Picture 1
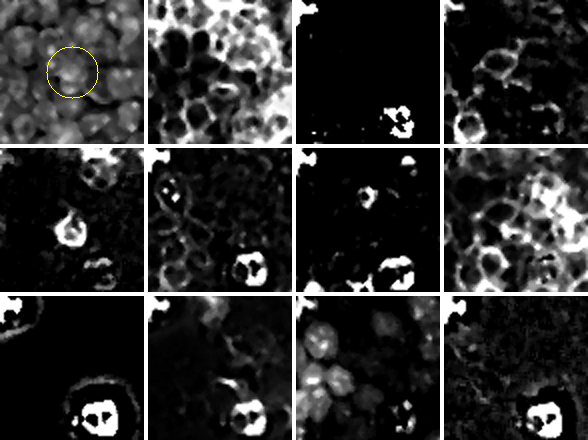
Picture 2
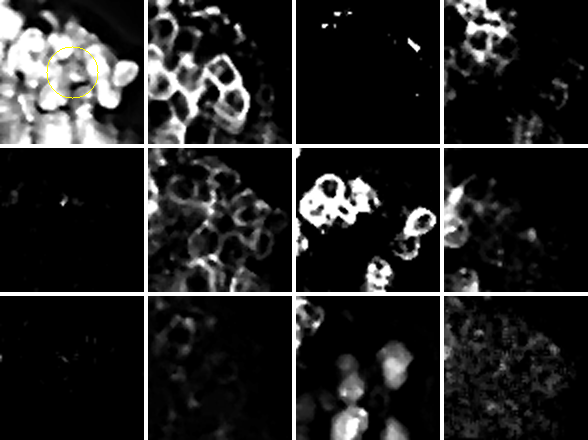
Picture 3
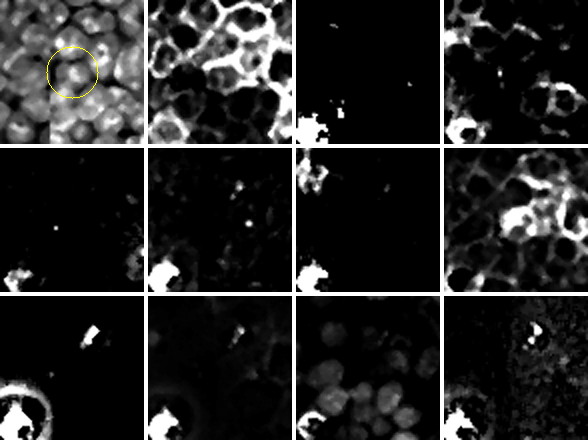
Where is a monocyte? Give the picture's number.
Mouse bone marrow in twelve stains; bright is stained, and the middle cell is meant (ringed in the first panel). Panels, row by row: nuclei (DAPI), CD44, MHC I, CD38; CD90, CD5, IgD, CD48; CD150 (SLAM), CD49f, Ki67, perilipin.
3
